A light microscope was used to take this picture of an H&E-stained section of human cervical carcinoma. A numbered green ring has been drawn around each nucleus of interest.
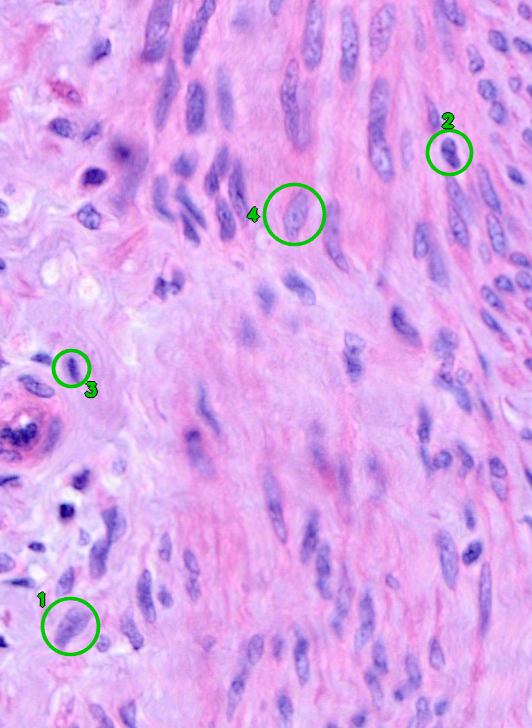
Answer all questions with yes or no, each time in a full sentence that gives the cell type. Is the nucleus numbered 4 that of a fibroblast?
No, what number 4 shows is a smooth muscle cell, not a fibroblast.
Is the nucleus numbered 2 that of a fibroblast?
No, cell 2 is not a fibroblast; it is a lymphocyte.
